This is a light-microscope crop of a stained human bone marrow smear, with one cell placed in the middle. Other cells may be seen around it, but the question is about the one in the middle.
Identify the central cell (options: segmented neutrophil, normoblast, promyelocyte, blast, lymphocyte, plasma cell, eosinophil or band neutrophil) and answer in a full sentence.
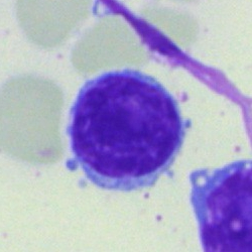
The crop centres on a single cell, and that cell is a lymphocyte.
